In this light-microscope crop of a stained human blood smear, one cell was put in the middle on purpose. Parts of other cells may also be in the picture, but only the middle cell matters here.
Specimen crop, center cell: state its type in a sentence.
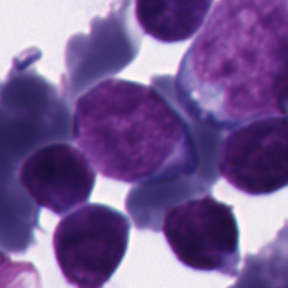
The central cell shown in this smear crop is a blast.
